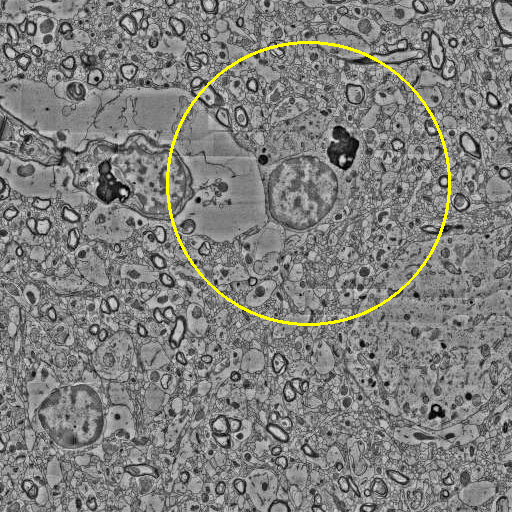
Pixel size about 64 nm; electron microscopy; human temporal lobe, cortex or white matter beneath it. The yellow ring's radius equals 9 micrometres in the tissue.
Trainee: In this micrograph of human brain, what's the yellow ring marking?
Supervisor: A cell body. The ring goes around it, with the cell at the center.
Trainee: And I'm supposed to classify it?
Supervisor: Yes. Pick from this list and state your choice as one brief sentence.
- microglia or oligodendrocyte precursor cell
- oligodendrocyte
The cell at the ring's center is an oligodendrocyte.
